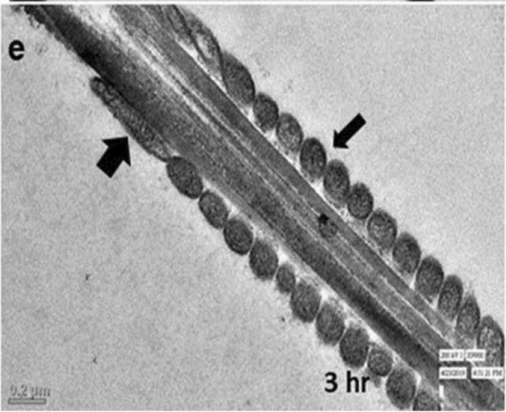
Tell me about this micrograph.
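This is a lengthwise section through the midpiece of a spermatozoon. A central core of long, parallel fibers runs diagonally across the field. These are the outer dense fibers and axonemal elements of the tail. On both sides this core is flanked by a regular single row of rounded to oval mitochondria. Each mitochondrion has a fine granular matrix and appears in section as a bead, so the rows look like strings of beads. At the left edge lies an elongated, flattened dense body along the core. It is unlike the rounded mitochondria beside it.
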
